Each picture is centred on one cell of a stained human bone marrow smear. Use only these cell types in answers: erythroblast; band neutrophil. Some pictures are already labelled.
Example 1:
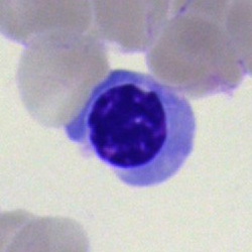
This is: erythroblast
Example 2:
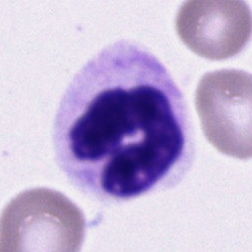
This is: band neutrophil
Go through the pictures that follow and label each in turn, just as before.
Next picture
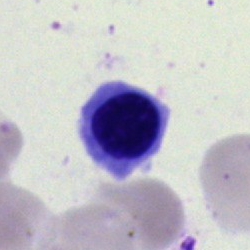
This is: erythroblast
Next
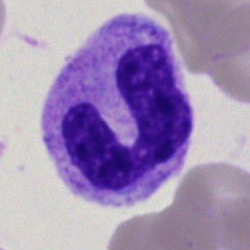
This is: band neutrophil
